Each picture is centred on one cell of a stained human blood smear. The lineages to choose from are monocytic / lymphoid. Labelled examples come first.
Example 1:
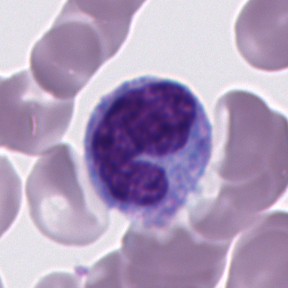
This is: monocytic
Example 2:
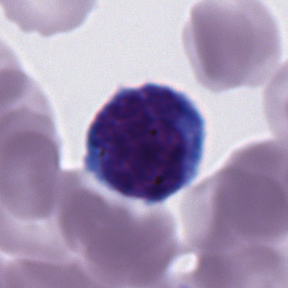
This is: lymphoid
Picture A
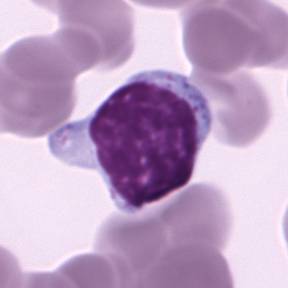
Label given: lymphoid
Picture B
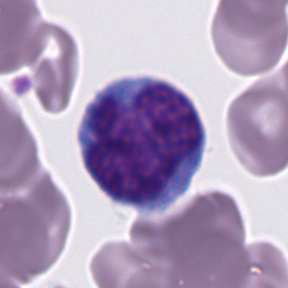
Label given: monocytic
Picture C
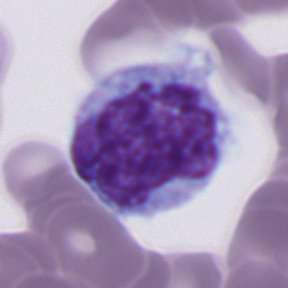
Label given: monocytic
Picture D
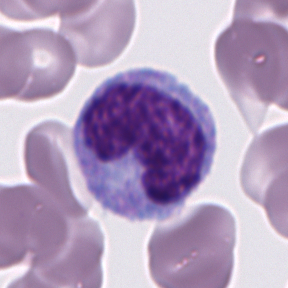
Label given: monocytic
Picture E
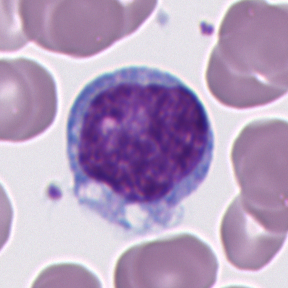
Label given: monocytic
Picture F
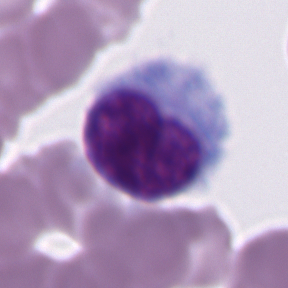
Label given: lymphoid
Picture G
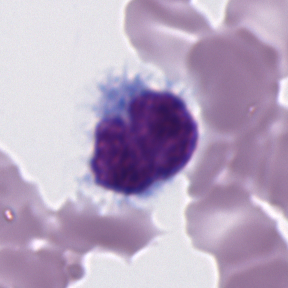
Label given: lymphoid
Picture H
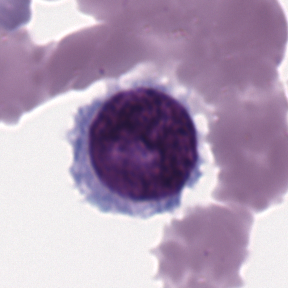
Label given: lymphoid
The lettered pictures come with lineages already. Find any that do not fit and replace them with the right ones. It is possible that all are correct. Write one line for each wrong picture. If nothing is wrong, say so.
Every label is right.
